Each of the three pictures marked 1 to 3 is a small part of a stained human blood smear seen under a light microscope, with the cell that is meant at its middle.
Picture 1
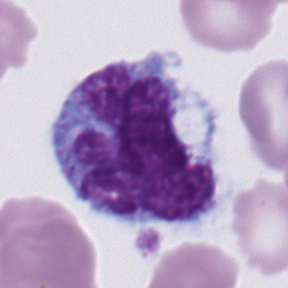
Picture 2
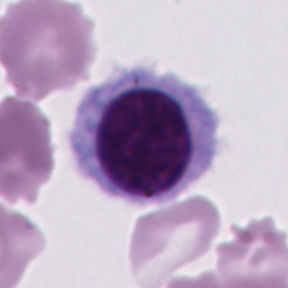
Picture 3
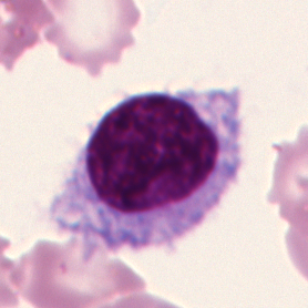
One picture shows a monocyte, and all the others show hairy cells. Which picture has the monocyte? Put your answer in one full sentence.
The picture with the monocyte is 1.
